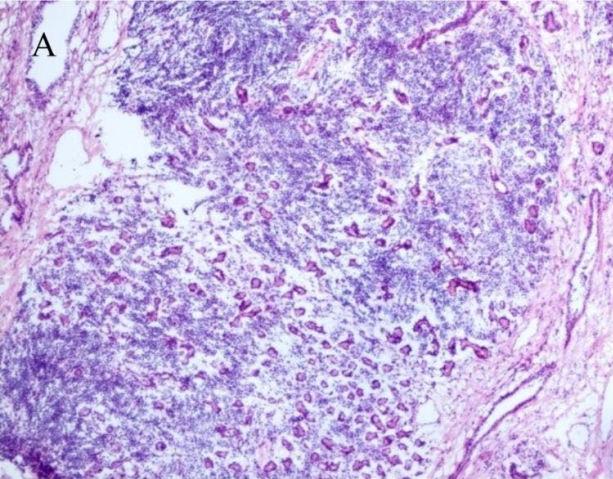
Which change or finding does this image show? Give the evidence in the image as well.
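A dense purple-blue cellular infiltrate occupies most of the lobule. Small pink glandular remnants are scattered within the infiltrate. That points to this answer: Lymphocytes infiltration.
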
